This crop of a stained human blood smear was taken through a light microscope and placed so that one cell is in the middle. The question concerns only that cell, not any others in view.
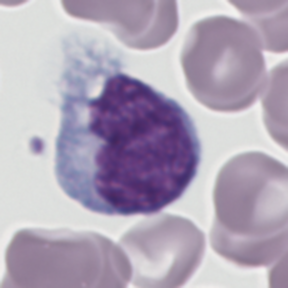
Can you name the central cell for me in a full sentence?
Centred in the crop is a monocyte.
